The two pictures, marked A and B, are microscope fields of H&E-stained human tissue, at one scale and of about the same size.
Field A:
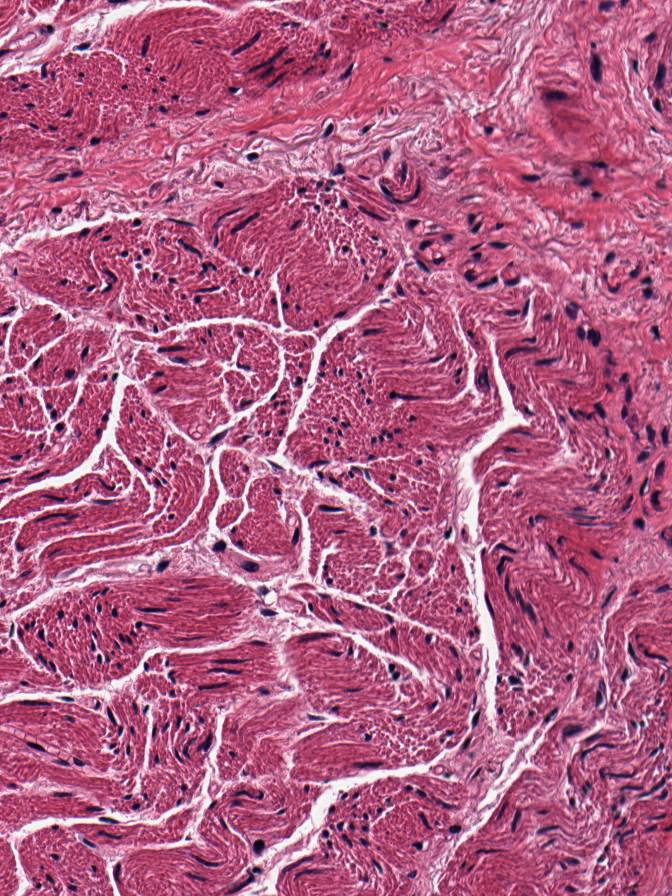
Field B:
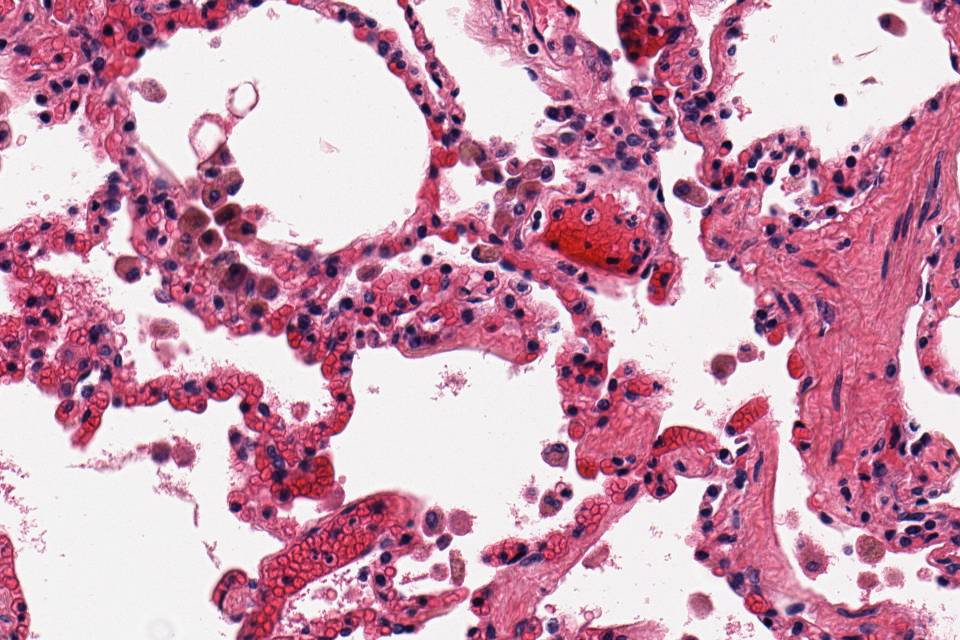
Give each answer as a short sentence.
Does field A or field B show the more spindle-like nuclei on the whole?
The nuclei are more elongated in field A.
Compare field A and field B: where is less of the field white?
Unstained space takes up less of field A than of field B.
